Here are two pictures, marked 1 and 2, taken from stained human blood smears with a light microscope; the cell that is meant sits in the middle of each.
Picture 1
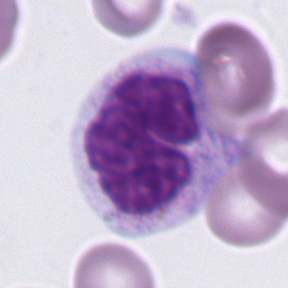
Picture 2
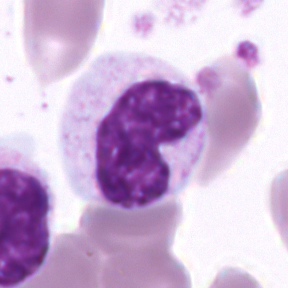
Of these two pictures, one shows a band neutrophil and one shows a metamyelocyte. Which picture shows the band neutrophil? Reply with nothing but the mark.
1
